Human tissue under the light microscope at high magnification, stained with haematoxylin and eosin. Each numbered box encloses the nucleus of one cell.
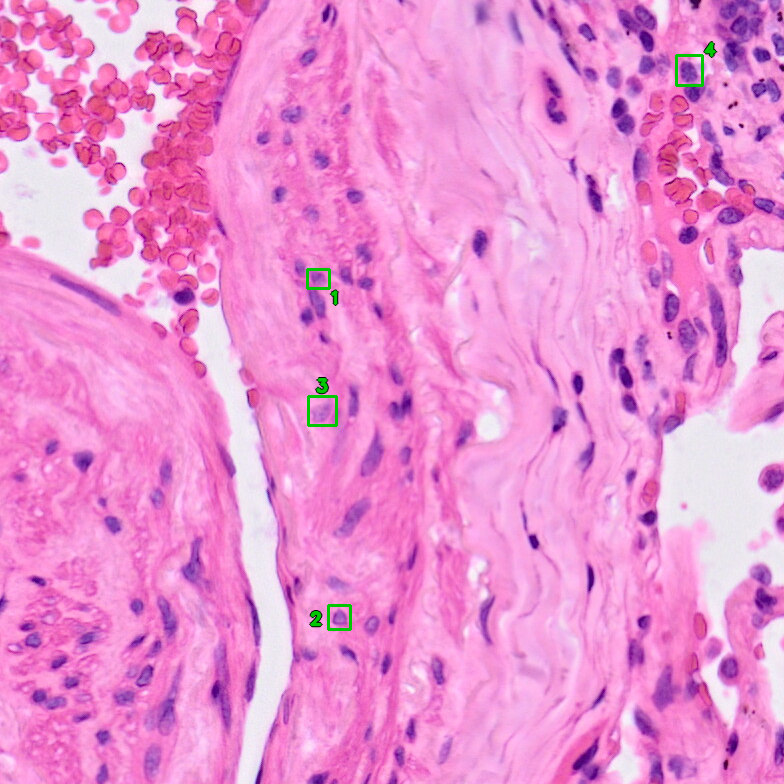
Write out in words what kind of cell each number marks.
Cell 1 is a smooth muscle cell or pericyte, cell 2 is a smooth muscle cell or pericyte, cell 3 is a smooth muscle cell or pericyte and cell 4 is a lymphocyte.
